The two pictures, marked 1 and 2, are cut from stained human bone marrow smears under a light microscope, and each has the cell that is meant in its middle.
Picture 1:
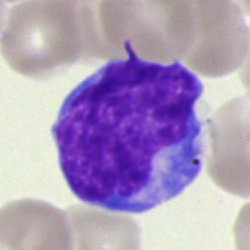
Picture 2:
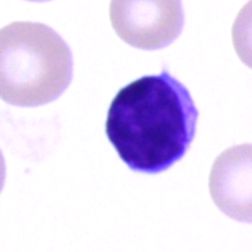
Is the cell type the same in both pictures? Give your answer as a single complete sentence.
No, picture 1 shows a blast and picture 2 shows a lymphocyte.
